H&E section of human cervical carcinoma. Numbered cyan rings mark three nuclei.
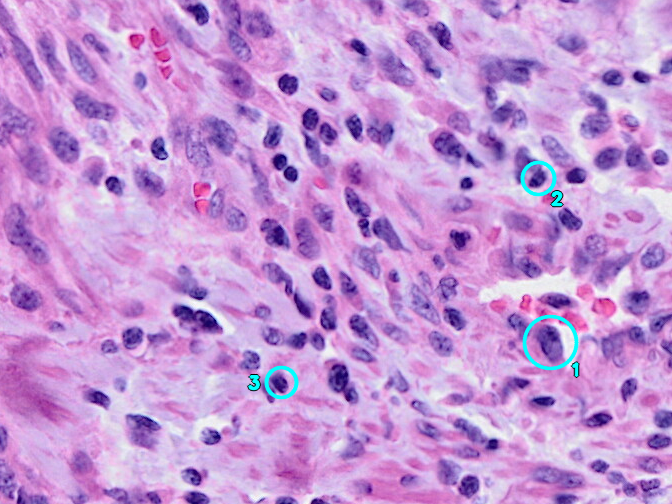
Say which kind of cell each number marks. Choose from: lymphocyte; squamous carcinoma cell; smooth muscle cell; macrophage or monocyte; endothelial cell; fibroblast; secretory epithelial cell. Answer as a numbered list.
1. endothelial cell
2. lymphocyte
3. lymphocyte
